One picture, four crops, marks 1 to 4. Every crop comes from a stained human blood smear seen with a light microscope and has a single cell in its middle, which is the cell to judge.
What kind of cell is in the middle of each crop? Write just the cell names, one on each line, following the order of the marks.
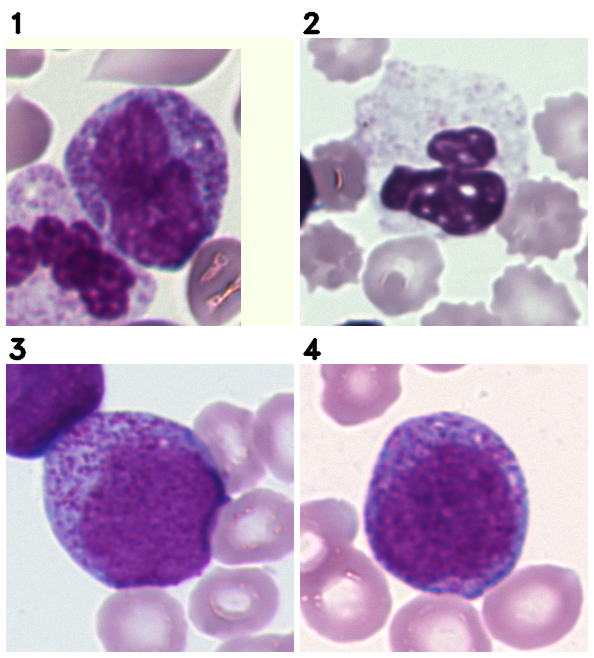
myelocyte
segmented neutrophil
promyelocyte
promyelocyte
